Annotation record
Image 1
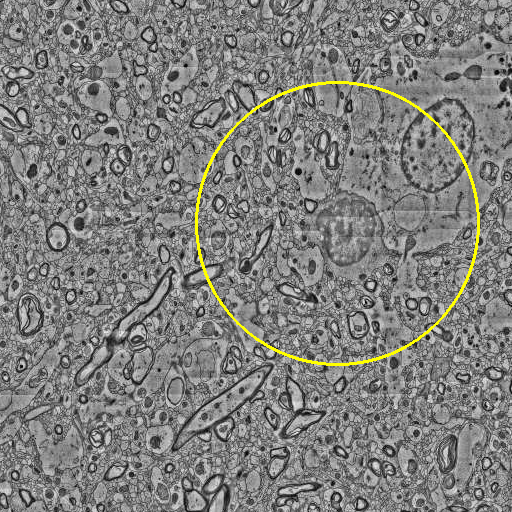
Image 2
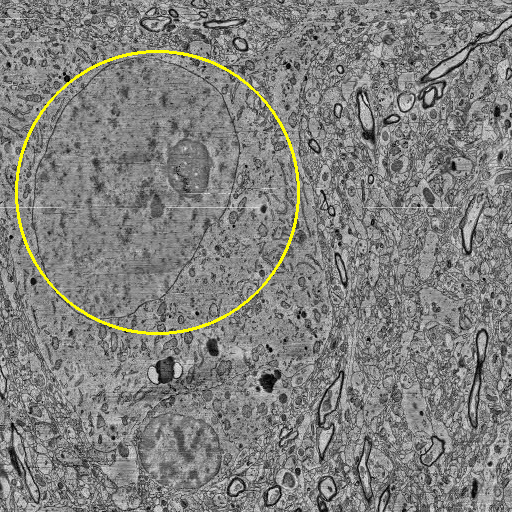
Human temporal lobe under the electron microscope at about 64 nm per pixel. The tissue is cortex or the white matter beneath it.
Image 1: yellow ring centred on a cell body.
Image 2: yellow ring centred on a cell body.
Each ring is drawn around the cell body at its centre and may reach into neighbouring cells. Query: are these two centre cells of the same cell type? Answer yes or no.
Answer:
no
